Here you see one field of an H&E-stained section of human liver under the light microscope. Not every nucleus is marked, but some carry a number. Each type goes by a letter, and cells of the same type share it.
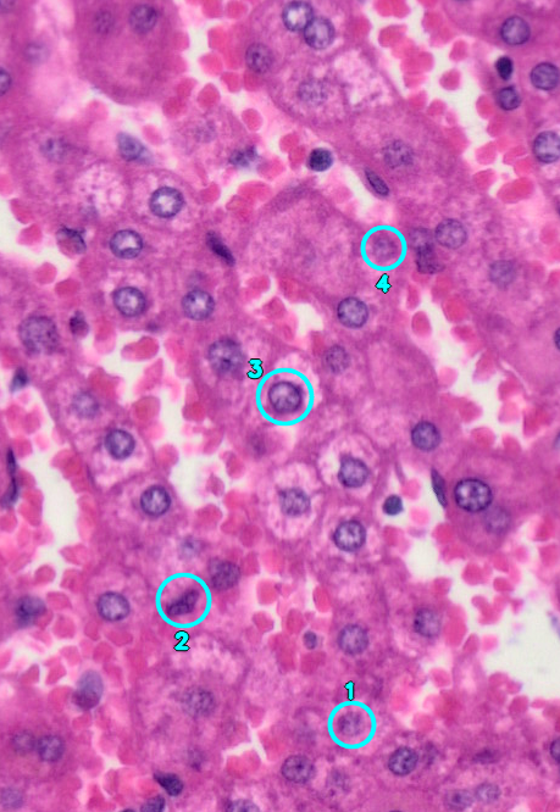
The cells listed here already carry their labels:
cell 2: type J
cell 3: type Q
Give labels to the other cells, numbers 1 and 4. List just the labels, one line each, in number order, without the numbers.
type Q
type Q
